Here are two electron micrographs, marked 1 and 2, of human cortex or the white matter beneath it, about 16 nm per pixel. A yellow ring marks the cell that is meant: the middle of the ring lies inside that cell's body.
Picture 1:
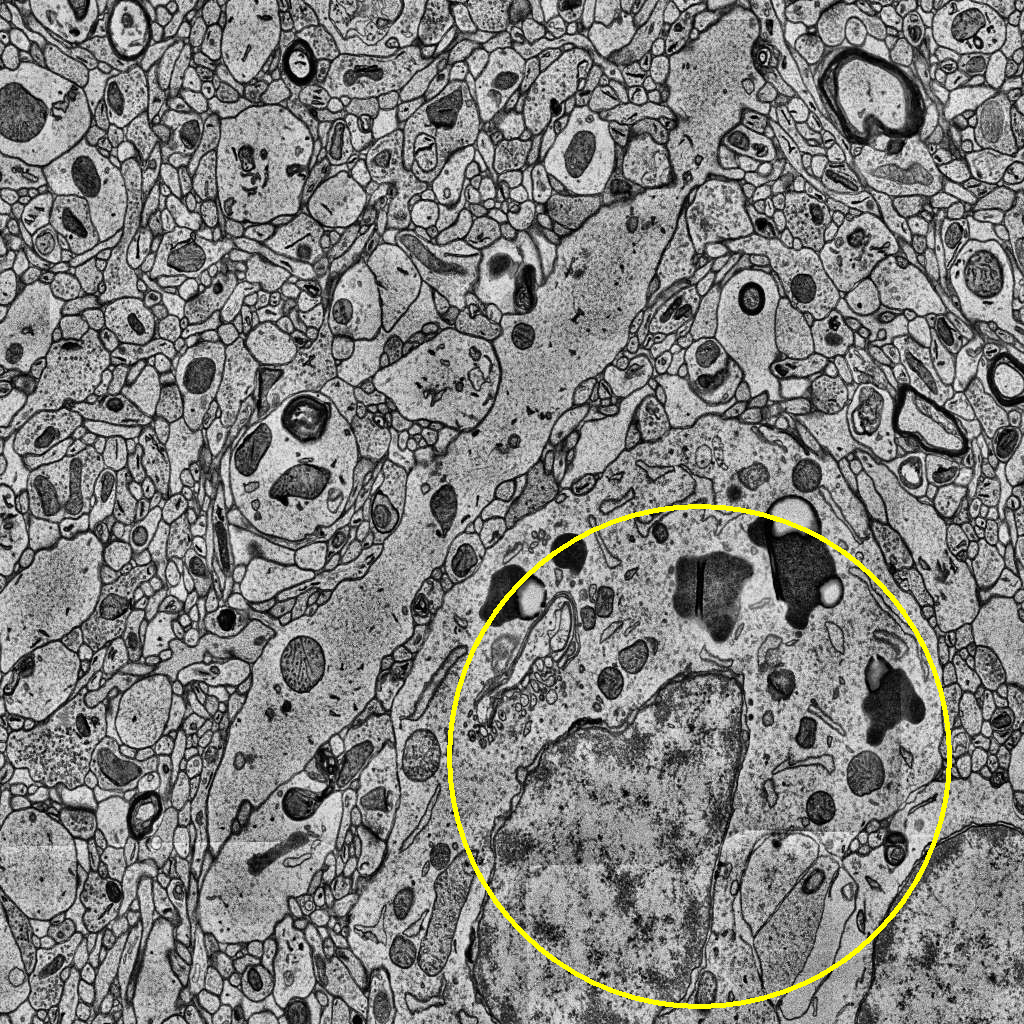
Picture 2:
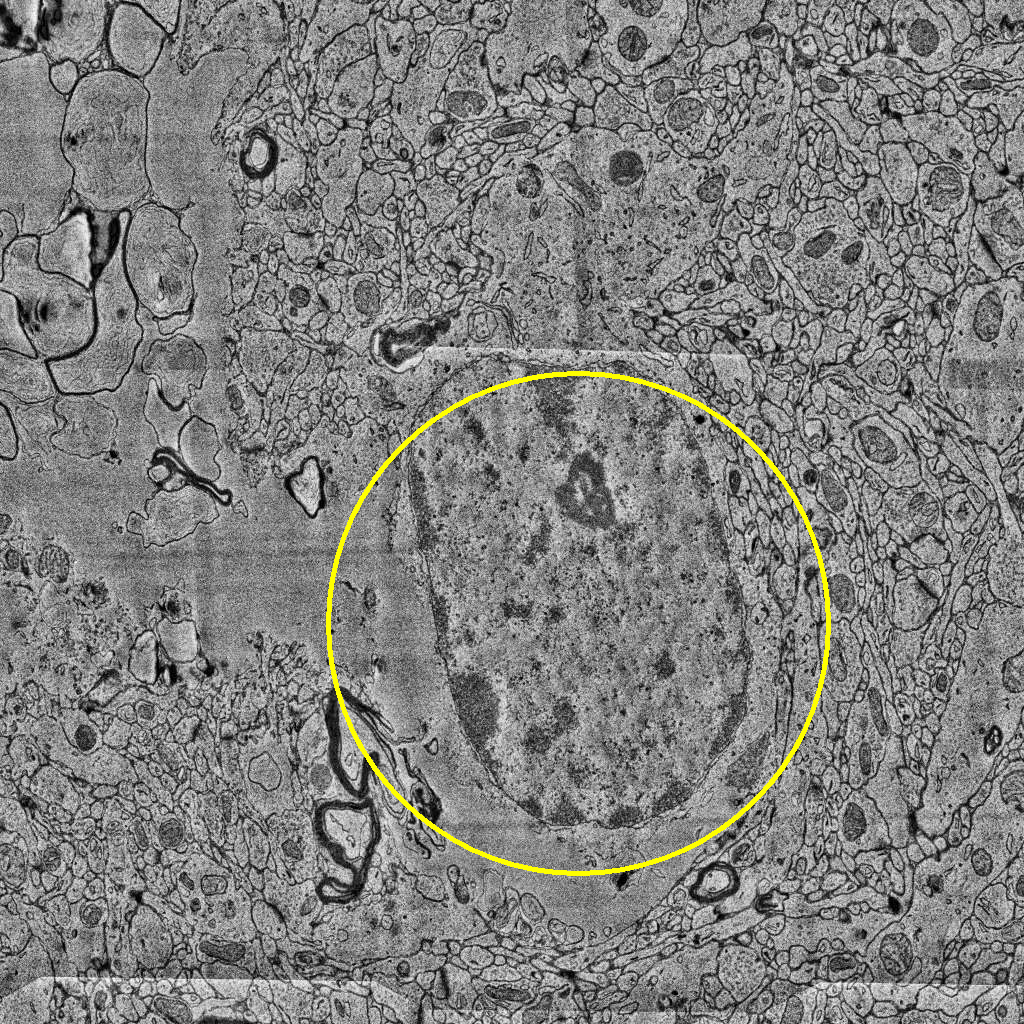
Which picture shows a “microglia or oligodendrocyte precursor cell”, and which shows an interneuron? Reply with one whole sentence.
In picture 1 the cell is an interneuron; in picture 2, a “microglia or oligodendrocyte precursor cell”.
